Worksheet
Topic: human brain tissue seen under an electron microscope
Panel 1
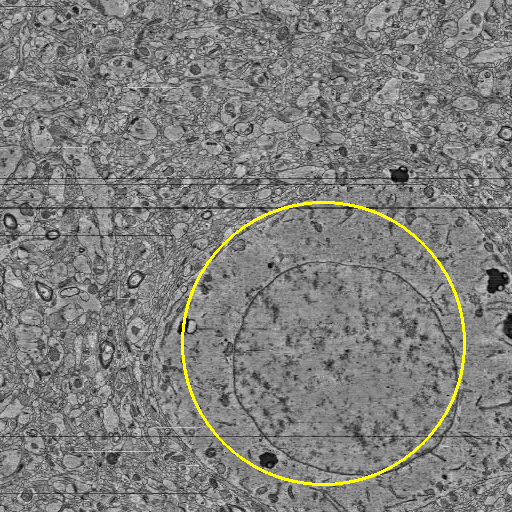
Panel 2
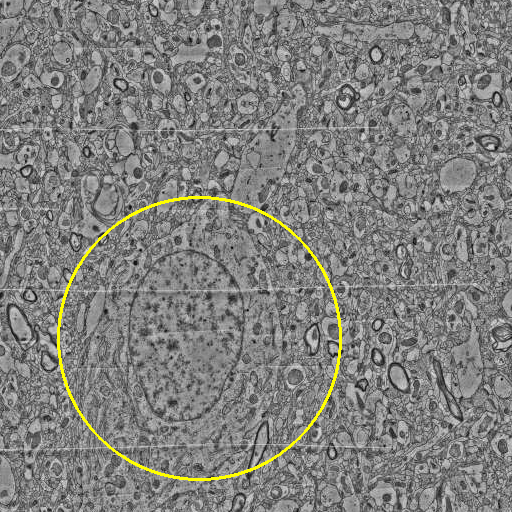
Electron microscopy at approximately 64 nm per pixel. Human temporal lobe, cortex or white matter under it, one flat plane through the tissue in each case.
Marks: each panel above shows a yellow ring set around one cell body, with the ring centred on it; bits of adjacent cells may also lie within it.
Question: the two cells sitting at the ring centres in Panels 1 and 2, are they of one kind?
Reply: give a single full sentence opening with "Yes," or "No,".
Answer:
No, the two ring-centre cells in Panel 1 and Panel 2 are of two kinds.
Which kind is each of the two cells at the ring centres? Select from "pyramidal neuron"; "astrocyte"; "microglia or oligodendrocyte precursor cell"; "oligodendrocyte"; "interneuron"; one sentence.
The cell at the centre of the ring is a pyramidal neuron in the first picture and an interneuron in the second.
